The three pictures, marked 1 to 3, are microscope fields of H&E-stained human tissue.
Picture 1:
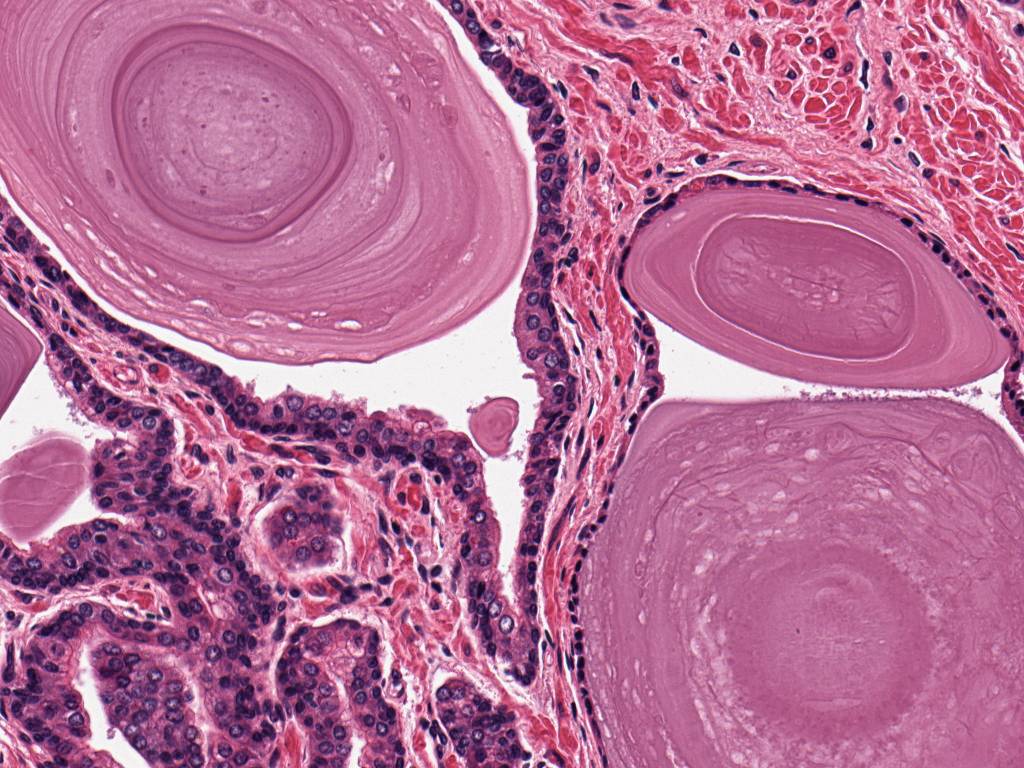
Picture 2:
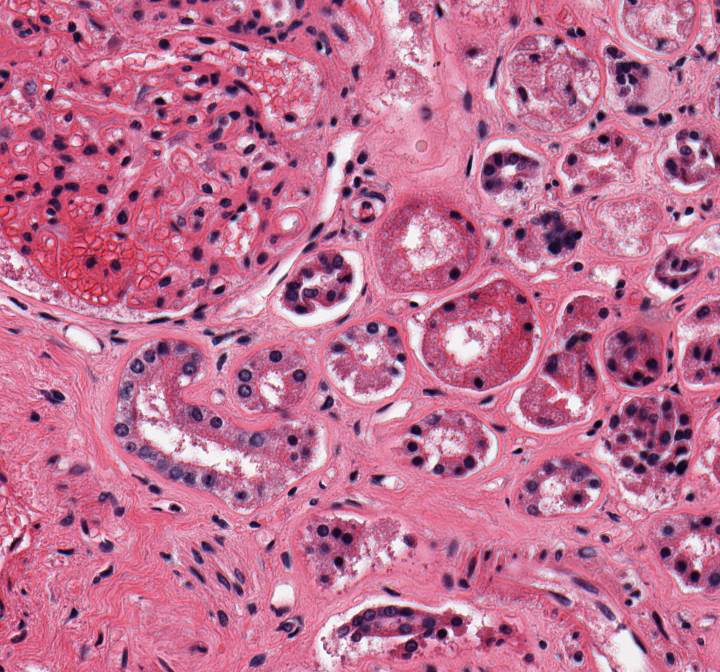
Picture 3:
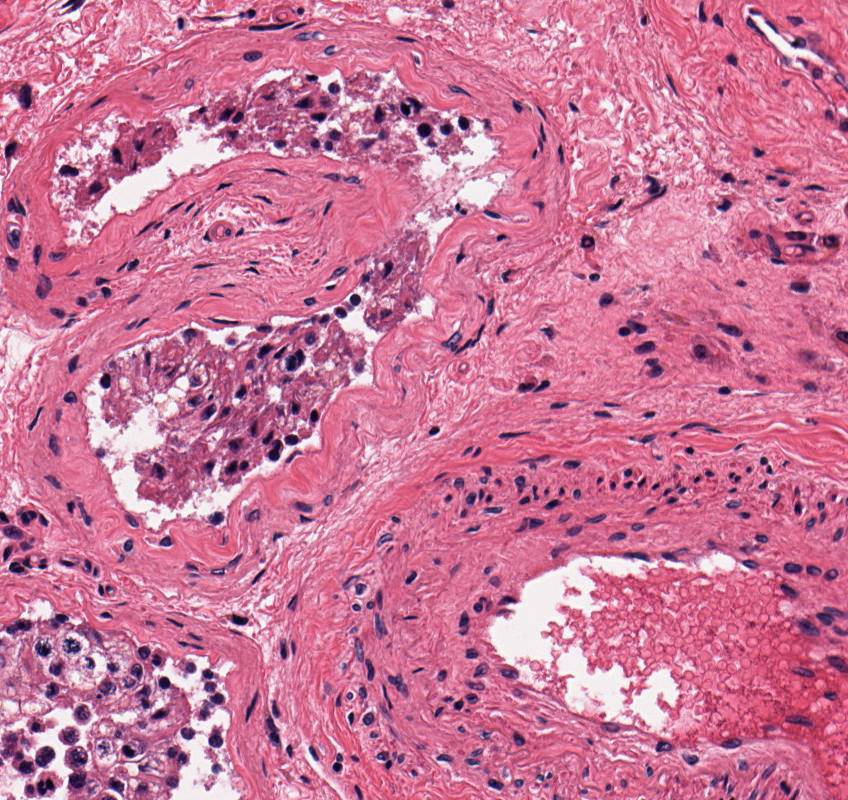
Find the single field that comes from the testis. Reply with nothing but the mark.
3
